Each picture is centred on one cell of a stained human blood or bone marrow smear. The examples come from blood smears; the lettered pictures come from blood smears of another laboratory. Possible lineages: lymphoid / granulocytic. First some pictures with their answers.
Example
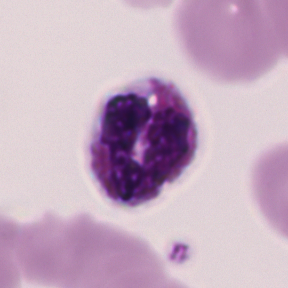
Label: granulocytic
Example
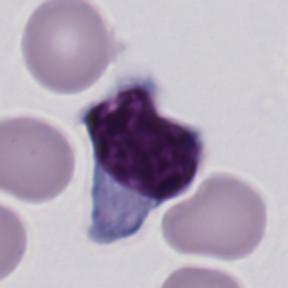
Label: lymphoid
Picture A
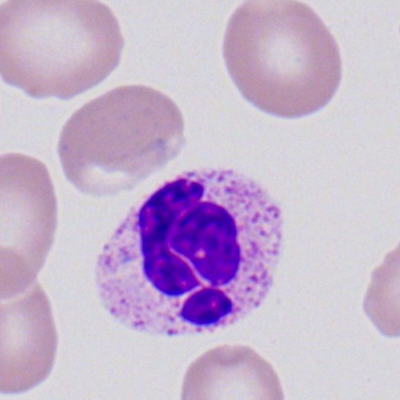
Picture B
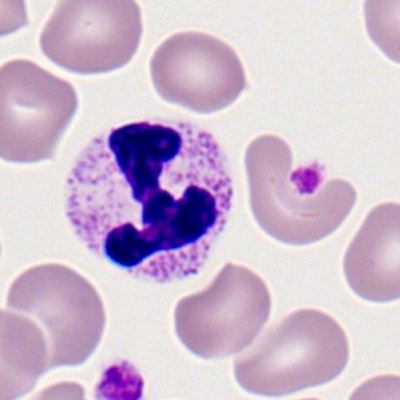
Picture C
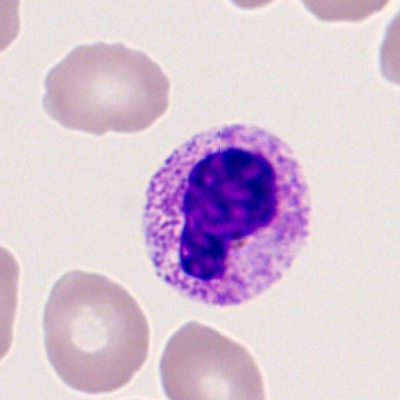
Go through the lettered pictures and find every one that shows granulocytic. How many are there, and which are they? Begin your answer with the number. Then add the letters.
3: A, B, C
